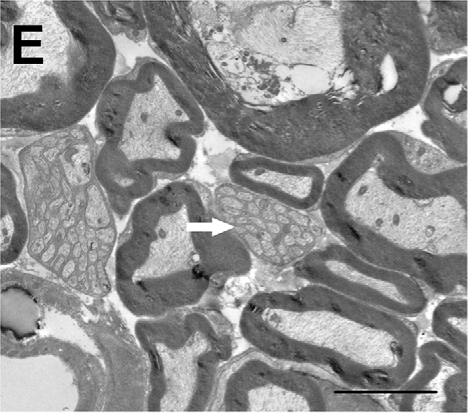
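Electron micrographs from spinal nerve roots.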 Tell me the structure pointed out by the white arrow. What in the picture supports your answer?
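The arrow points to a cluster of many small round profiles grouped together. These small profiles lack the thick dark sheath that surrounds the large axons nearby. Large axons around them are each wrapped in a thick, electron-dense sheath. On this evidence: nonmyelinating axons.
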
